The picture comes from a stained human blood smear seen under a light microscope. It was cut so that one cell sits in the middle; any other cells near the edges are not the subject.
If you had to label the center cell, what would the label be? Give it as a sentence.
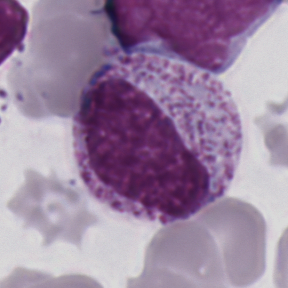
Present in the middle of the crop is a myelocyte.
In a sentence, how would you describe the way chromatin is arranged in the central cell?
The chromatin is delicate and fine, lacking coarse clumping entirely.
